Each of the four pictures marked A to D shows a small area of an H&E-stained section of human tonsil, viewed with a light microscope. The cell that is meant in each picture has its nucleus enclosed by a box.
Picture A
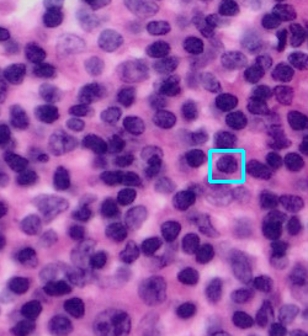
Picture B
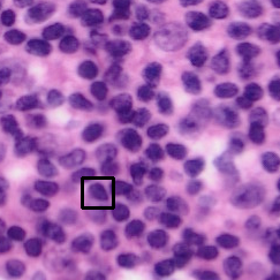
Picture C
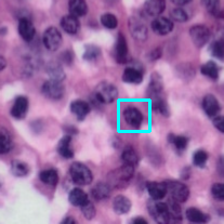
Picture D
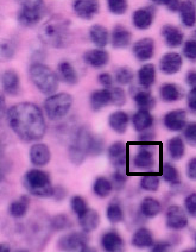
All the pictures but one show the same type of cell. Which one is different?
C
